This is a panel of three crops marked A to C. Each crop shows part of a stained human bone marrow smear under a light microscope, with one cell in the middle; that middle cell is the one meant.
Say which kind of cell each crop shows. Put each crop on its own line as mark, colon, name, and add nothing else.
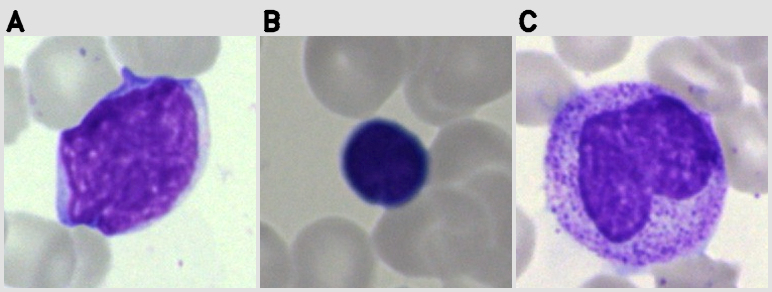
A: blast
B: lymphocyte
C: metamyelocyte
